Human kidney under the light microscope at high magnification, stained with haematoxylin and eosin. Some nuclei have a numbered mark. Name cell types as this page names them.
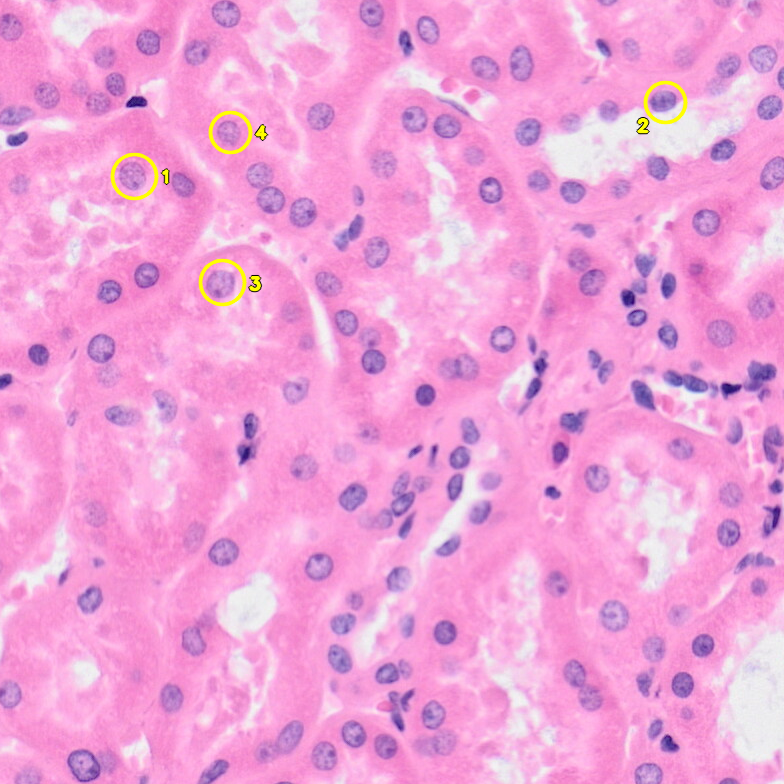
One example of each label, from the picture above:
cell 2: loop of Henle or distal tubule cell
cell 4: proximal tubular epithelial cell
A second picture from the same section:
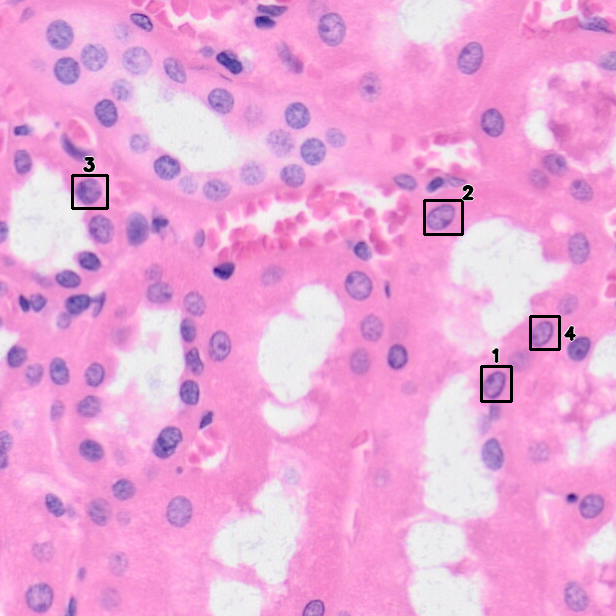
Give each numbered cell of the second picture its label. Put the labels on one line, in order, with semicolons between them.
proximal tubular epithelial cell; proximal tubular epithelial cell; loop of Henle or distal tubule cell; proximal tubular epithelial cell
